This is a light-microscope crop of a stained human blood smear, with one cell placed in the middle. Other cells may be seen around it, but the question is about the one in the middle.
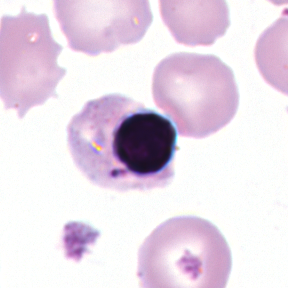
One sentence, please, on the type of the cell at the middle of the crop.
The single cell at the center of the crop is a normoblast.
